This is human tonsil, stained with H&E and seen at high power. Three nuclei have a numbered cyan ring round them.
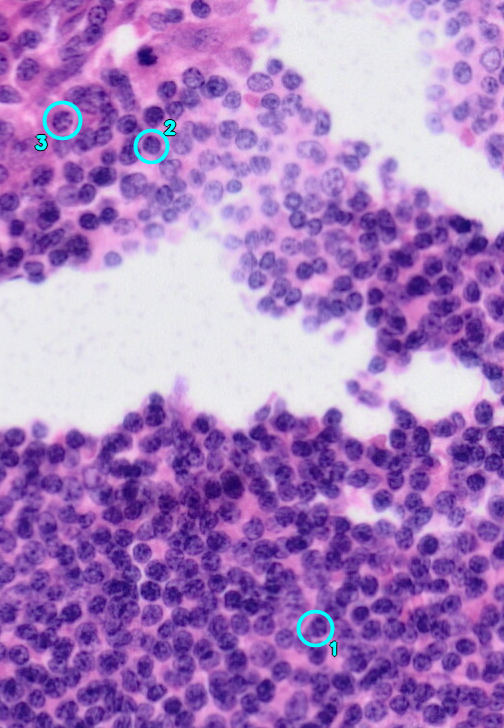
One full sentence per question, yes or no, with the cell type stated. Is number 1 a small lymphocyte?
Yes, that one, number 1, is a small lymphocyte.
